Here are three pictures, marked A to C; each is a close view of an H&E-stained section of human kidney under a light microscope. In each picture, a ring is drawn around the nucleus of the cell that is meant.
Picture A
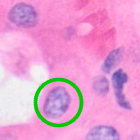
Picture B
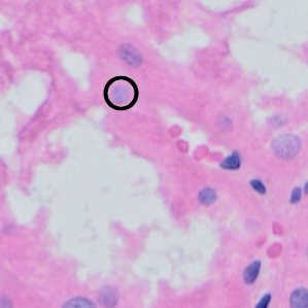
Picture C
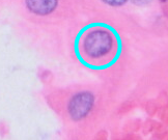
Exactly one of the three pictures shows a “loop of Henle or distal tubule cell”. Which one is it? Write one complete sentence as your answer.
Picture A shows the “loop of Henle or distal tubule cell”.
